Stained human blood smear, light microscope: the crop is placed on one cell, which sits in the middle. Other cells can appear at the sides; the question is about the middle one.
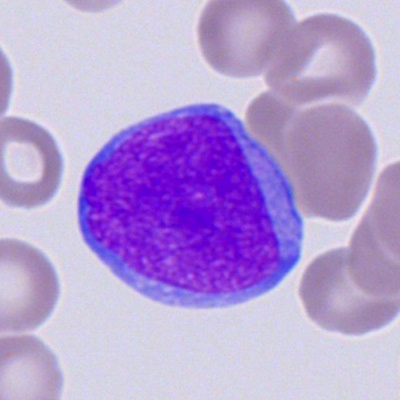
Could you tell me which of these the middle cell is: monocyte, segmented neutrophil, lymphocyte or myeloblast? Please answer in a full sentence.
Classification of the middle cell gives a myeloblast.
